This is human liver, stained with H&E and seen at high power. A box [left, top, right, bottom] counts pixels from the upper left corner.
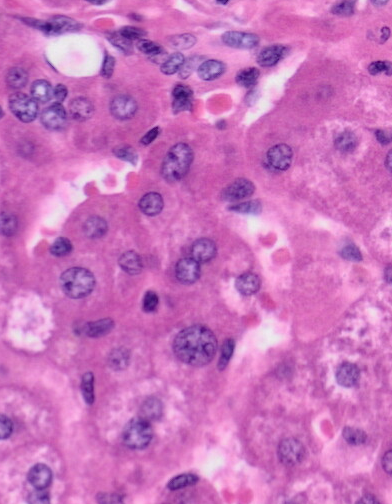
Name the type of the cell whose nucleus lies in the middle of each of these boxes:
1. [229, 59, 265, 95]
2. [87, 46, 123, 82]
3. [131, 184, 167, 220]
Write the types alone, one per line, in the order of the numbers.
fibroblast or stellate cell
fibroblast or stellate cell
hepatocyte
